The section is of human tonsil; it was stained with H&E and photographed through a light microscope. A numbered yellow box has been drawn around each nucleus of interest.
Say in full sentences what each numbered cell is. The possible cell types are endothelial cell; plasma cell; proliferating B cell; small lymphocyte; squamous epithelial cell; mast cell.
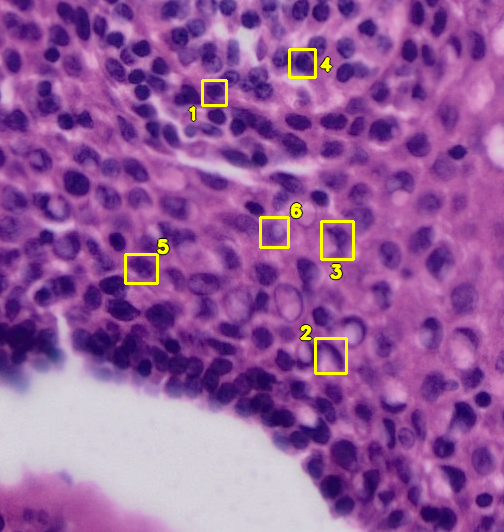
Cells 1 and 4 are plasma cells. Cells 2, 3, 5 and 6 are squamous epithelial cells.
